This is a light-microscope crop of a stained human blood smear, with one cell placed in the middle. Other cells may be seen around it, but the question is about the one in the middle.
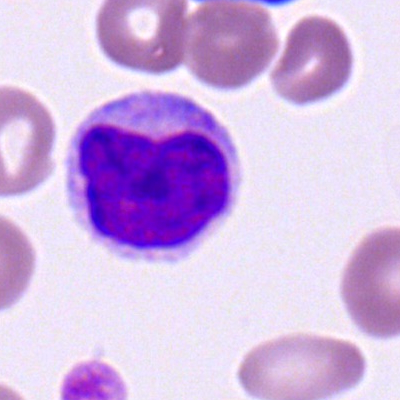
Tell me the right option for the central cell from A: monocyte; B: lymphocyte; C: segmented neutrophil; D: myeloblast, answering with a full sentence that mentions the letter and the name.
It is a lymphocyte that occupies the centre of the crop, so option B is correct.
